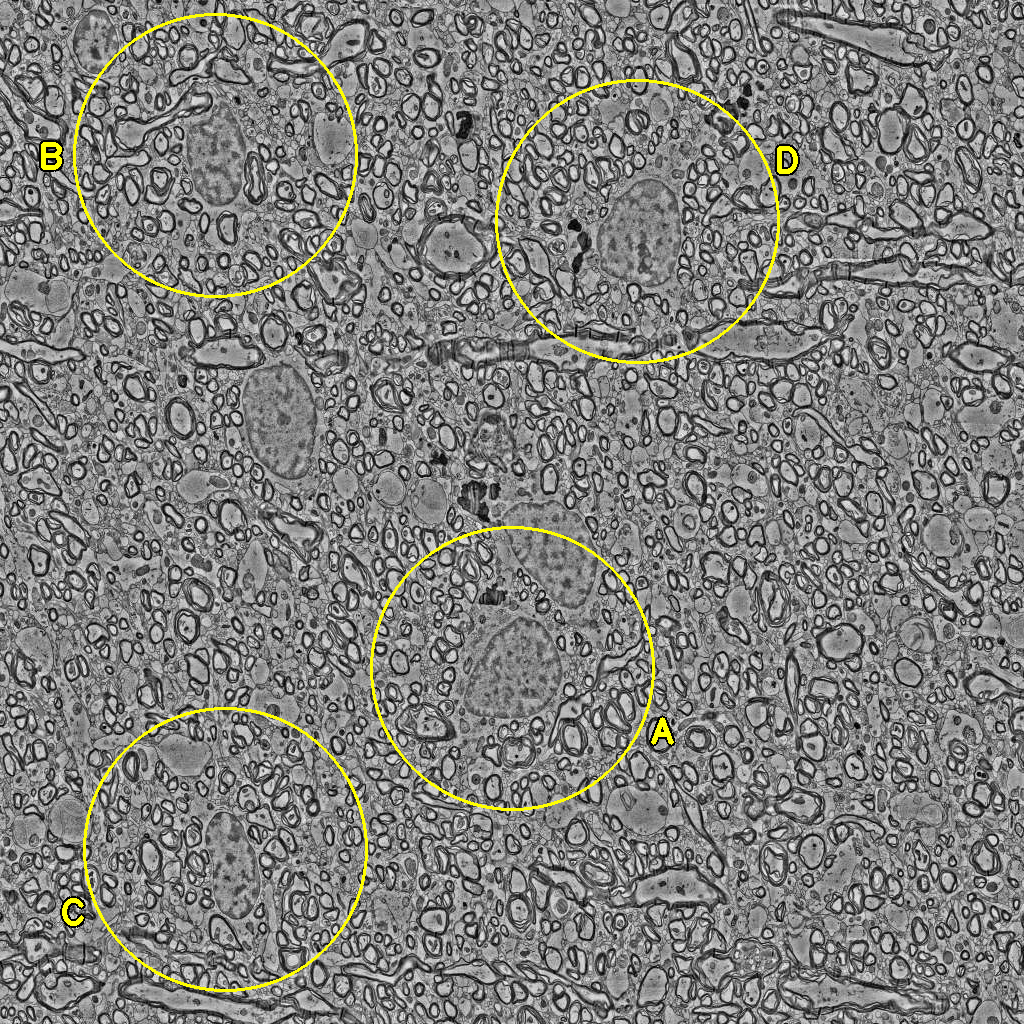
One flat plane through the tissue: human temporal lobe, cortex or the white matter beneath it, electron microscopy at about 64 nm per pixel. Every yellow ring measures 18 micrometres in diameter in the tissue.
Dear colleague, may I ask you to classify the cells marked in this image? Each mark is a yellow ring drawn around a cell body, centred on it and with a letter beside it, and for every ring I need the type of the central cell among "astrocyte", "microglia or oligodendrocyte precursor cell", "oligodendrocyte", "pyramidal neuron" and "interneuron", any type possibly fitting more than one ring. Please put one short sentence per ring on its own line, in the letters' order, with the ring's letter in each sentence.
Ring A contains an oligodendrocyte at its centre.
Ring B contains an oligodendrocyte at its centre.
Ring C contains a microglial cell or oligodendrocyte precursor cell at its centre.
Ring D contains an oligodendrocyte at its centre.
